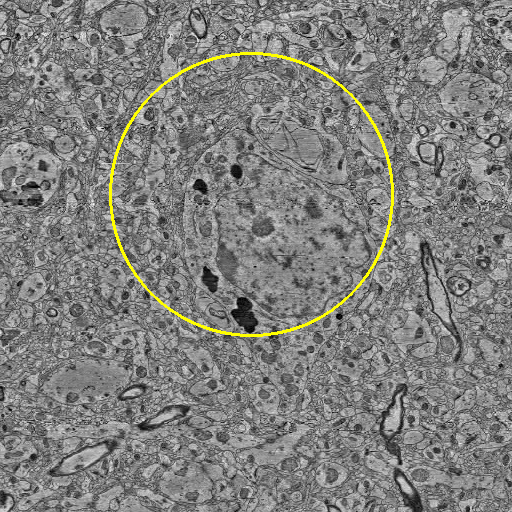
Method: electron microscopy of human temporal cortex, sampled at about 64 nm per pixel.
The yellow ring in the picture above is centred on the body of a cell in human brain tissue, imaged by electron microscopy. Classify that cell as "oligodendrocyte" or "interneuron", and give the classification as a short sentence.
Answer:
The cell in the middle of the ring is an interneuron.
